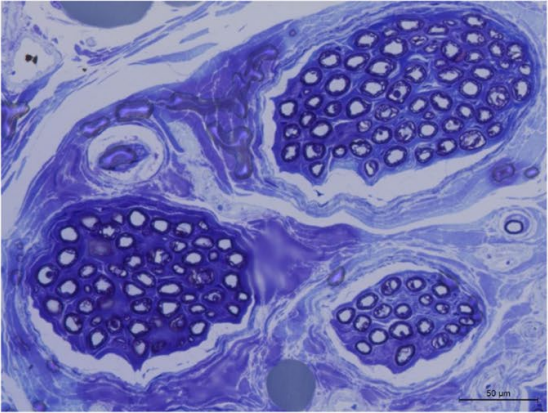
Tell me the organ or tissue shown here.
Nerves.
